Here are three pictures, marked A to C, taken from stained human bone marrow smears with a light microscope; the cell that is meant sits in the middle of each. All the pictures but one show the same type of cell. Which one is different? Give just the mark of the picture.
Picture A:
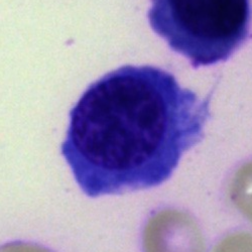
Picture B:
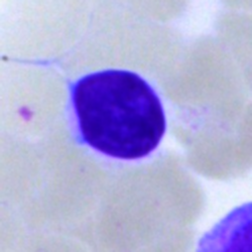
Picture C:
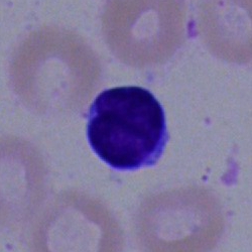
A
